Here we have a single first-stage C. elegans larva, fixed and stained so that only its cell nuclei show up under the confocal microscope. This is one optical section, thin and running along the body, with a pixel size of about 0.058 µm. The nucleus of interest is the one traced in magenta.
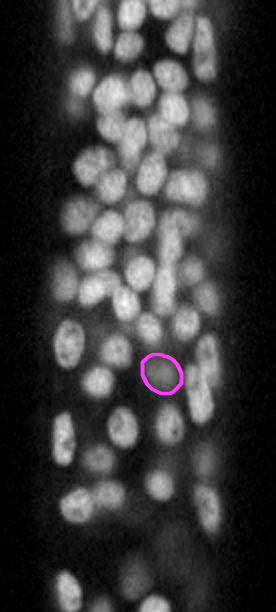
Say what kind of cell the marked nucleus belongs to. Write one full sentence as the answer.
The marked nucleus is that of a pharyngeal muscle cell.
